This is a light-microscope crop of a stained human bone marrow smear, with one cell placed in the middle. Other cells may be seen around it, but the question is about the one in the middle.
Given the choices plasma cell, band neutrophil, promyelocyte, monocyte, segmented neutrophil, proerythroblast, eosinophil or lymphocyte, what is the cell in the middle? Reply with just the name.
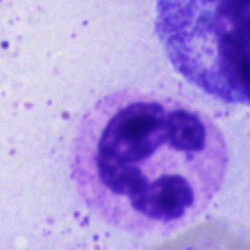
segmented neutrophil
